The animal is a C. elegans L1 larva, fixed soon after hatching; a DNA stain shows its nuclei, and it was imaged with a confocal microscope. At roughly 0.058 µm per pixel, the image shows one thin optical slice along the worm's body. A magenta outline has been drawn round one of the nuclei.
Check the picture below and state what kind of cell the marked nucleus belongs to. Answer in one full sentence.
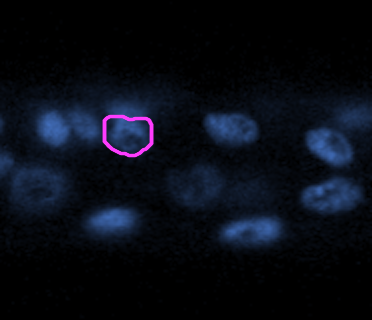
The marked nucleus belongs to a seam cell.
